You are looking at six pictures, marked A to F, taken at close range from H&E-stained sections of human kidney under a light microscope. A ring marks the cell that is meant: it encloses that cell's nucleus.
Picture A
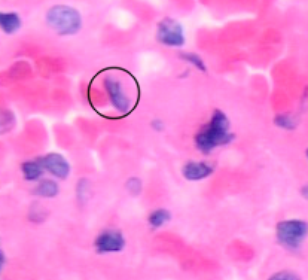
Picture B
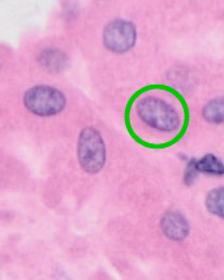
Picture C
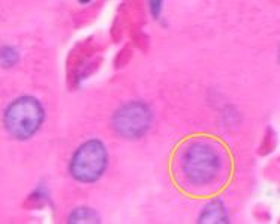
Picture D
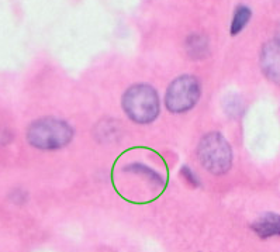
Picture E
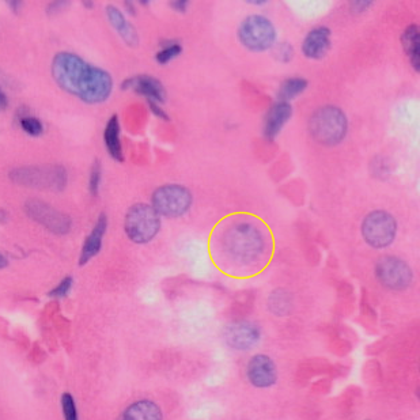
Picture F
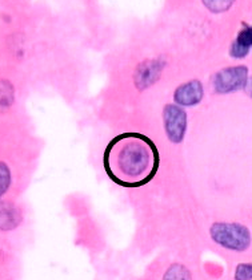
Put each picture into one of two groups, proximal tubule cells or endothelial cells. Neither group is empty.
A: endothelial cell
B: proximal tubule cell
C: proximal tubule cell
D: endothelial cell
E: proximal tubule cell
F: proximal tubule cell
